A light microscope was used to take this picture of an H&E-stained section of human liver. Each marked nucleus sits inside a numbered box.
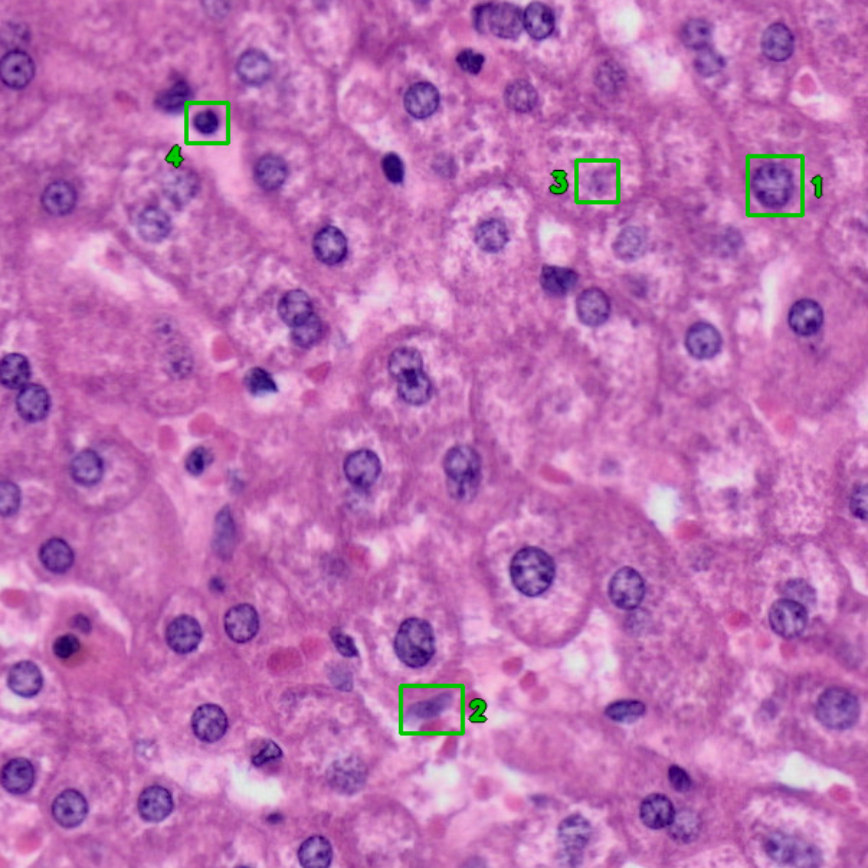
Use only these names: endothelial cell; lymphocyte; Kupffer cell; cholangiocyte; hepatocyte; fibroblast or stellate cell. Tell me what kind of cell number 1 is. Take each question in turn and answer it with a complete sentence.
The nucleus labelled 1 belongs to a hepatocyte.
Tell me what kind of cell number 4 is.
Within this field of view, the cell labelled 4 is a lymphocyte.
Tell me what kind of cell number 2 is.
In this section, the cell numbered 2 is a Kupffer cell.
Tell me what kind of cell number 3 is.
The numbered cell 3 in this field is a hepatocyte.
